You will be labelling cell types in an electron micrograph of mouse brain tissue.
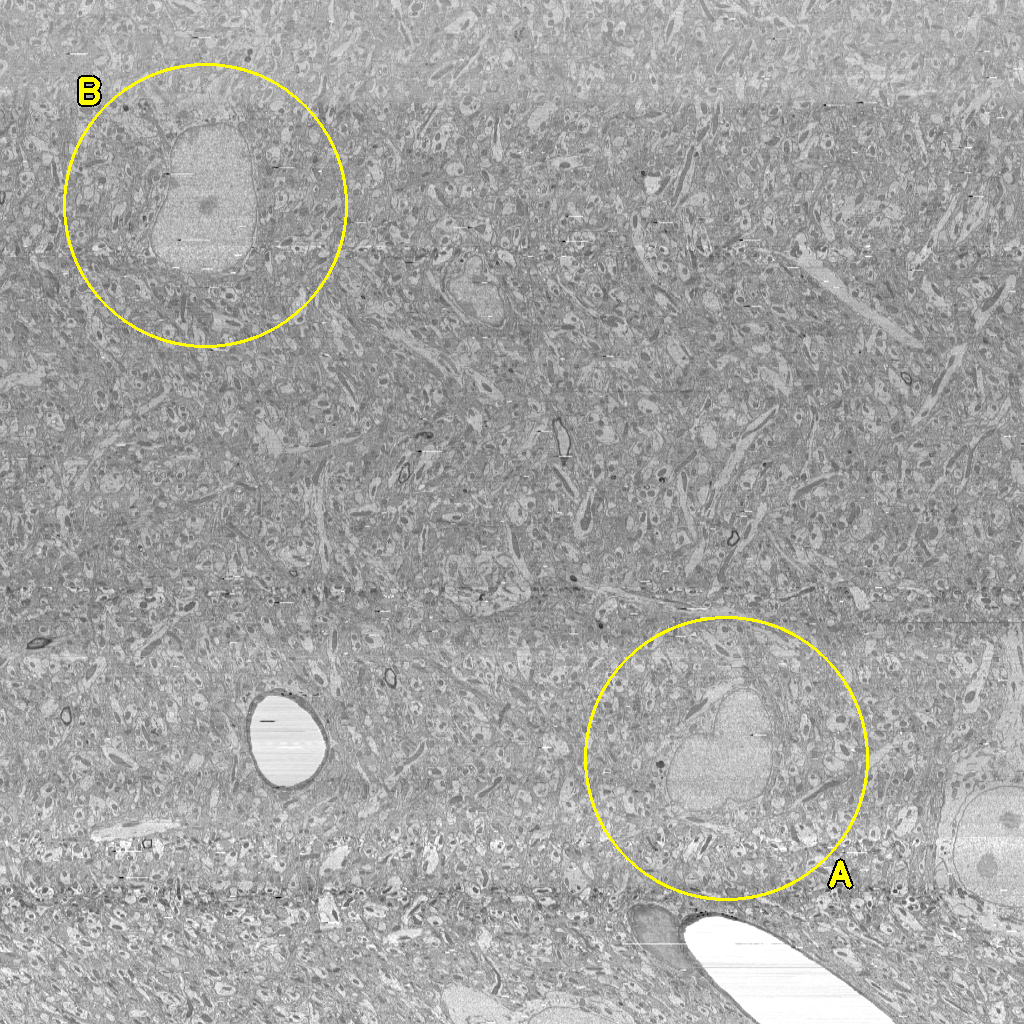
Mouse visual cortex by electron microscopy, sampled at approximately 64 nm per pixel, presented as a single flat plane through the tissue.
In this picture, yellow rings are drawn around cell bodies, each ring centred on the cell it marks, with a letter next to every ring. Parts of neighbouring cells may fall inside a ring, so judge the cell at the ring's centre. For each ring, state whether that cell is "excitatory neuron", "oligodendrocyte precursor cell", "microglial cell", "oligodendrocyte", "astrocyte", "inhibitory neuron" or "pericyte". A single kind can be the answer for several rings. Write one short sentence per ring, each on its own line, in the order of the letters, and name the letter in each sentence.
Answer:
Ring A contains an astrocyte at its centre.
Ring B contains an astrocyte at its centre.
